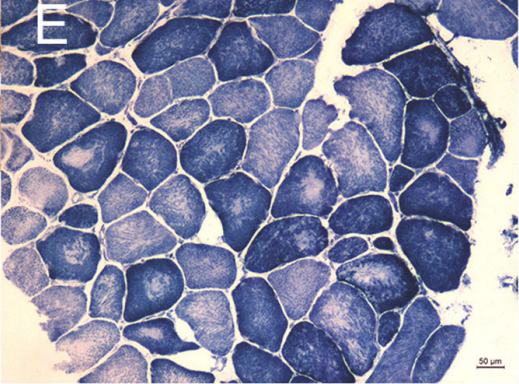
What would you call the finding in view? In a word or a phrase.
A: core lesions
